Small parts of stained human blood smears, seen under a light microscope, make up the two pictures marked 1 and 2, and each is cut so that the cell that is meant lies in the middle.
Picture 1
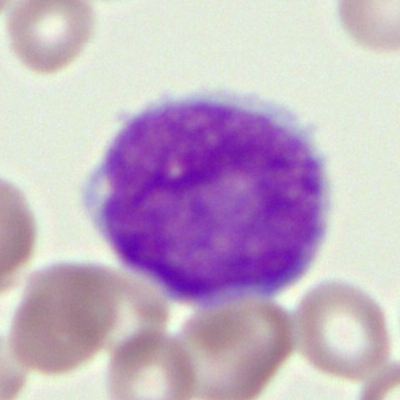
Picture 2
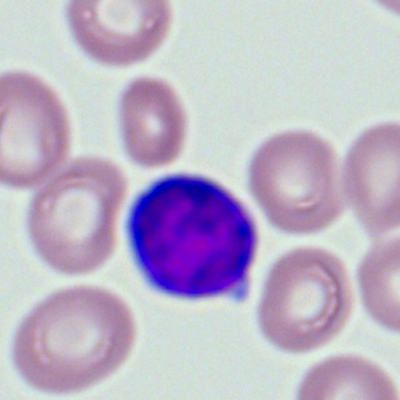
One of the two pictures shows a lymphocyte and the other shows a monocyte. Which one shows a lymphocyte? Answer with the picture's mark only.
2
